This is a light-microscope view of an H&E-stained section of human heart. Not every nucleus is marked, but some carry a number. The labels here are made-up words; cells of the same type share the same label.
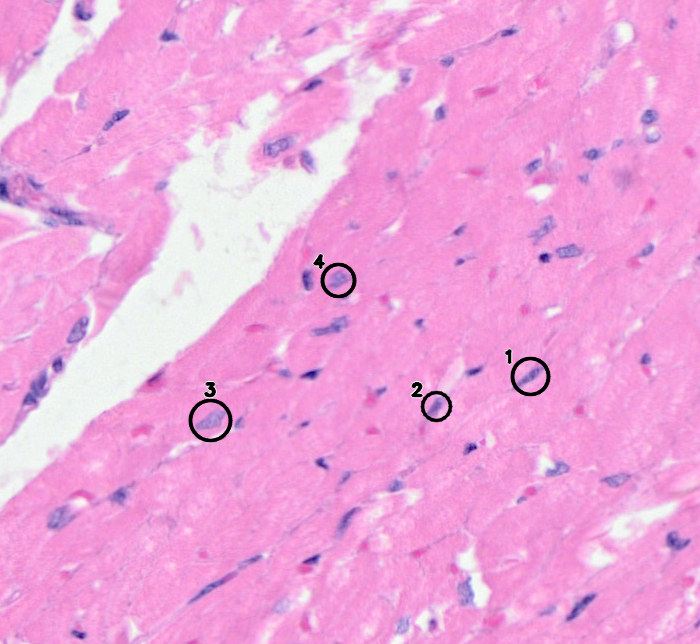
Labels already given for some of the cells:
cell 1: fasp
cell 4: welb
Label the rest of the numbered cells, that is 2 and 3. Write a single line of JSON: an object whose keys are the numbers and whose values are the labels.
{"2": "fasp", "3": "welb"}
